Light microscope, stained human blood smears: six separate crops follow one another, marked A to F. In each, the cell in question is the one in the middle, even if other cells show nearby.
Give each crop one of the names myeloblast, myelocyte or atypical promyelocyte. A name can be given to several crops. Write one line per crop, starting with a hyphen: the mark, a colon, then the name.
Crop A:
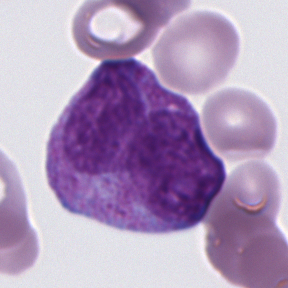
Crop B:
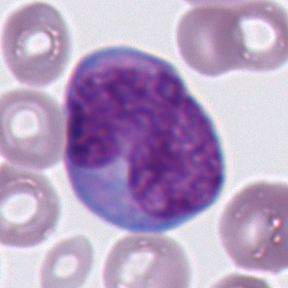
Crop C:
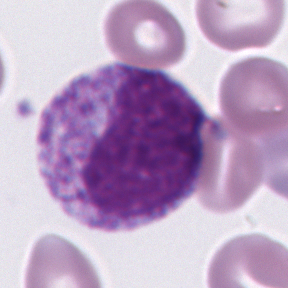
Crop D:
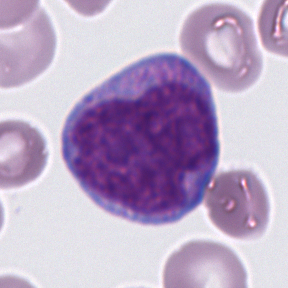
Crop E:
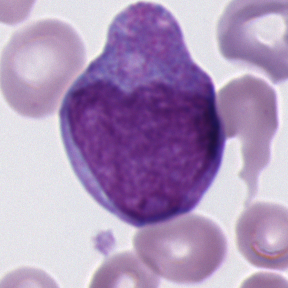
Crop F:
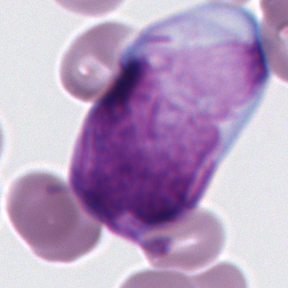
- A: atypical promyelocyte
- B: atypical promyelocyte
- C: myelocyte
- D: atypical promyelocyte
- E: atypical promyelocyte
- F: atypical promyelocyte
